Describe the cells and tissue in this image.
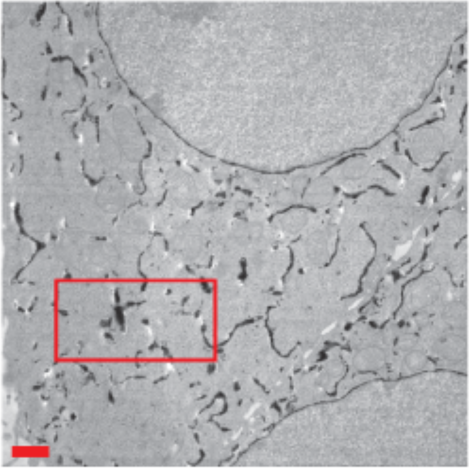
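The dark compartment forms thin, narrow tubules and flattened profiles scattered through the cytoplasm, occupying only a small part of it. A large pale nucleus with a thin dark outline lies at the top of the field.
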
